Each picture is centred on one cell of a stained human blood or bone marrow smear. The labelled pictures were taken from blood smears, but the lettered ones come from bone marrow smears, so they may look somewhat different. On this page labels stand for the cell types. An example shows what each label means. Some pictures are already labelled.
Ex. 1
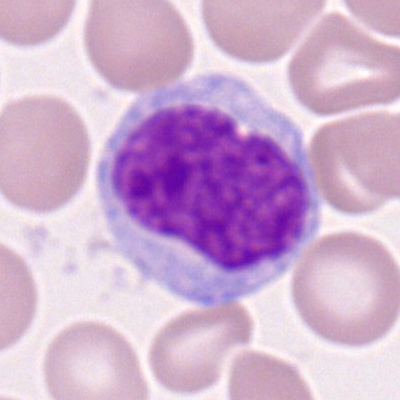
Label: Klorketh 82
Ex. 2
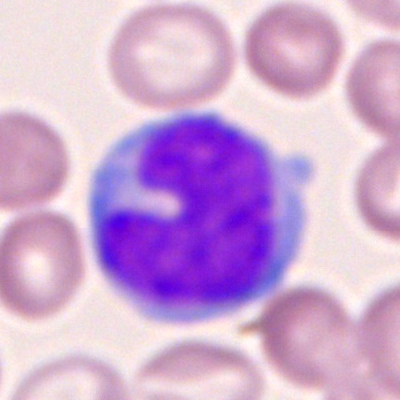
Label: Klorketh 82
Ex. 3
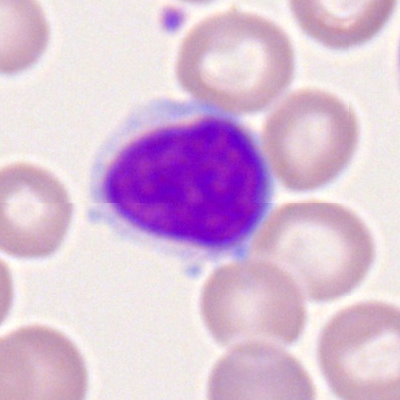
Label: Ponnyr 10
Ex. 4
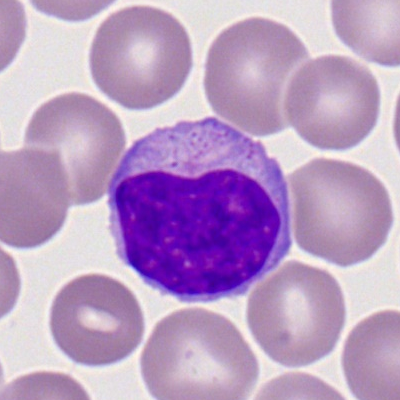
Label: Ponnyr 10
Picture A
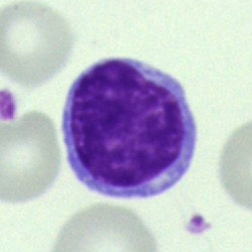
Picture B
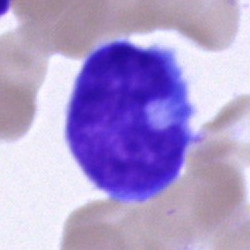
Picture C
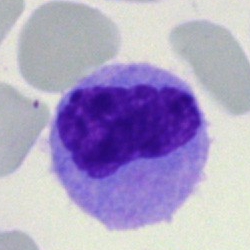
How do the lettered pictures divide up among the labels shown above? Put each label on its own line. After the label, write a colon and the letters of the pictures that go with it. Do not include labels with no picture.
Klorketh 82: B, C
Ponnyr 10: A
